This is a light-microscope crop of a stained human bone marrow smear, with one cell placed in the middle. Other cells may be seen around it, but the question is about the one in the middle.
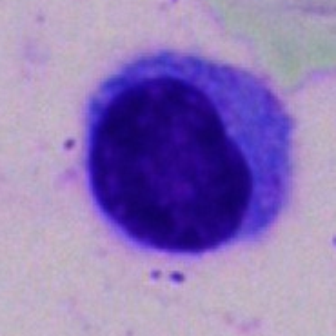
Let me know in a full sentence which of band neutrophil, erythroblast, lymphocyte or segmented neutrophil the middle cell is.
The cell at the central position in this crop is a lymphocyte.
